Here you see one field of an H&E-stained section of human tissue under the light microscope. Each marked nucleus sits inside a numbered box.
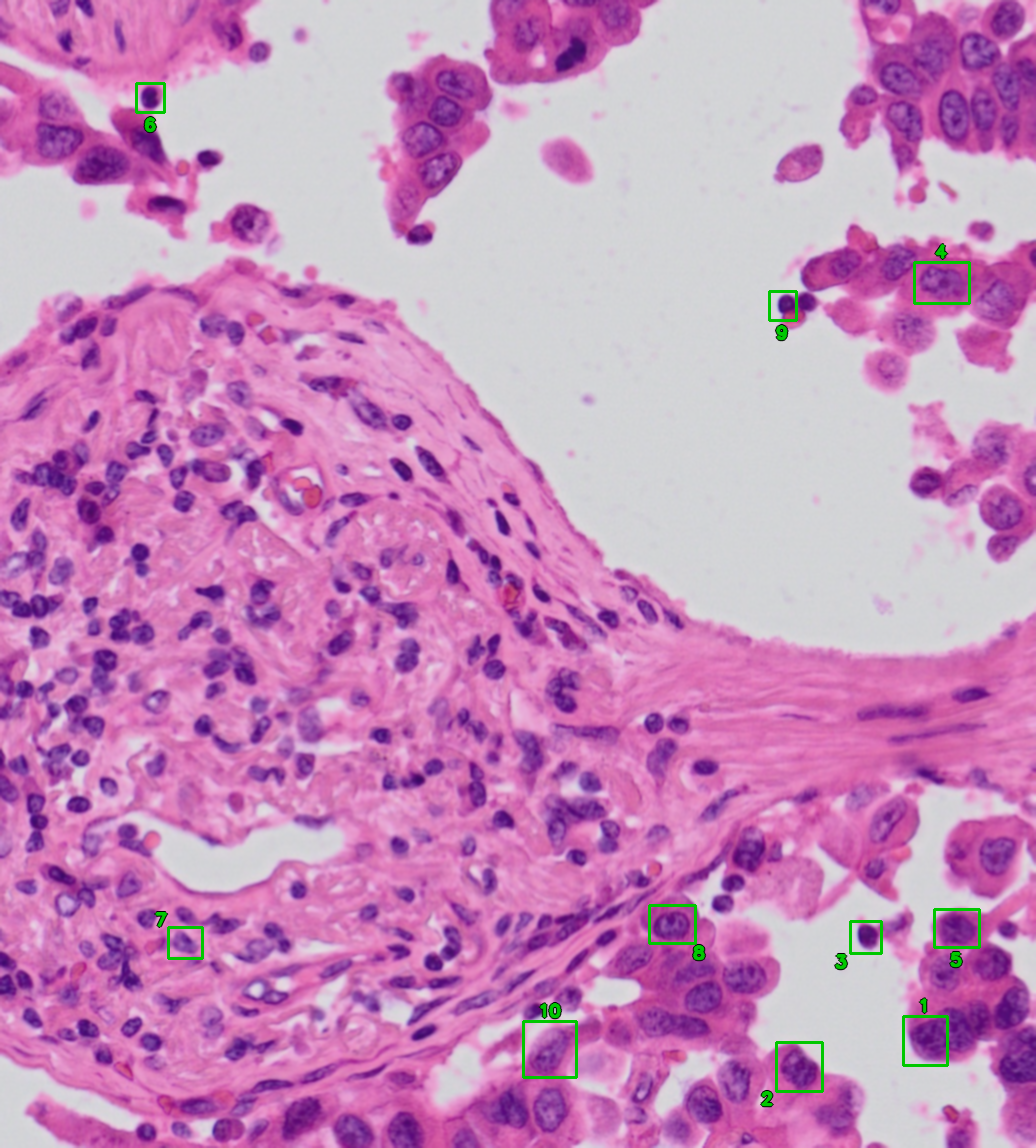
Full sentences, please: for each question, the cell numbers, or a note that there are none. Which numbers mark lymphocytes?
The cells with labels 3, 6, 7 and 9 are lymphocytes.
